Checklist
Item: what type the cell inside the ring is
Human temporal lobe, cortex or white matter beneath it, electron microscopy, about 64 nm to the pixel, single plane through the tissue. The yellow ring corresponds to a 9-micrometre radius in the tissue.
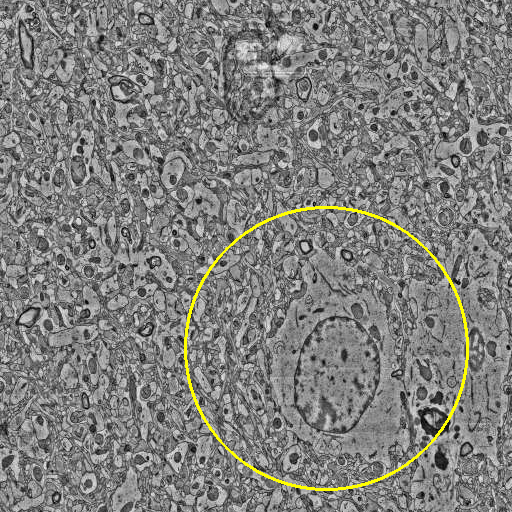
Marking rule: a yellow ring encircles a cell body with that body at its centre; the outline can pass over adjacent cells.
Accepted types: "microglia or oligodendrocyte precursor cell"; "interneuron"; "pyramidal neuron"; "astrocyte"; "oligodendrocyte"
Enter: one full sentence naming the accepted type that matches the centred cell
The entry is that an astrocyte lies at the centre of the yellow ring.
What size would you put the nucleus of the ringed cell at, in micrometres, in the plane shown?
About 8 by 5 micrometres in this plane.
